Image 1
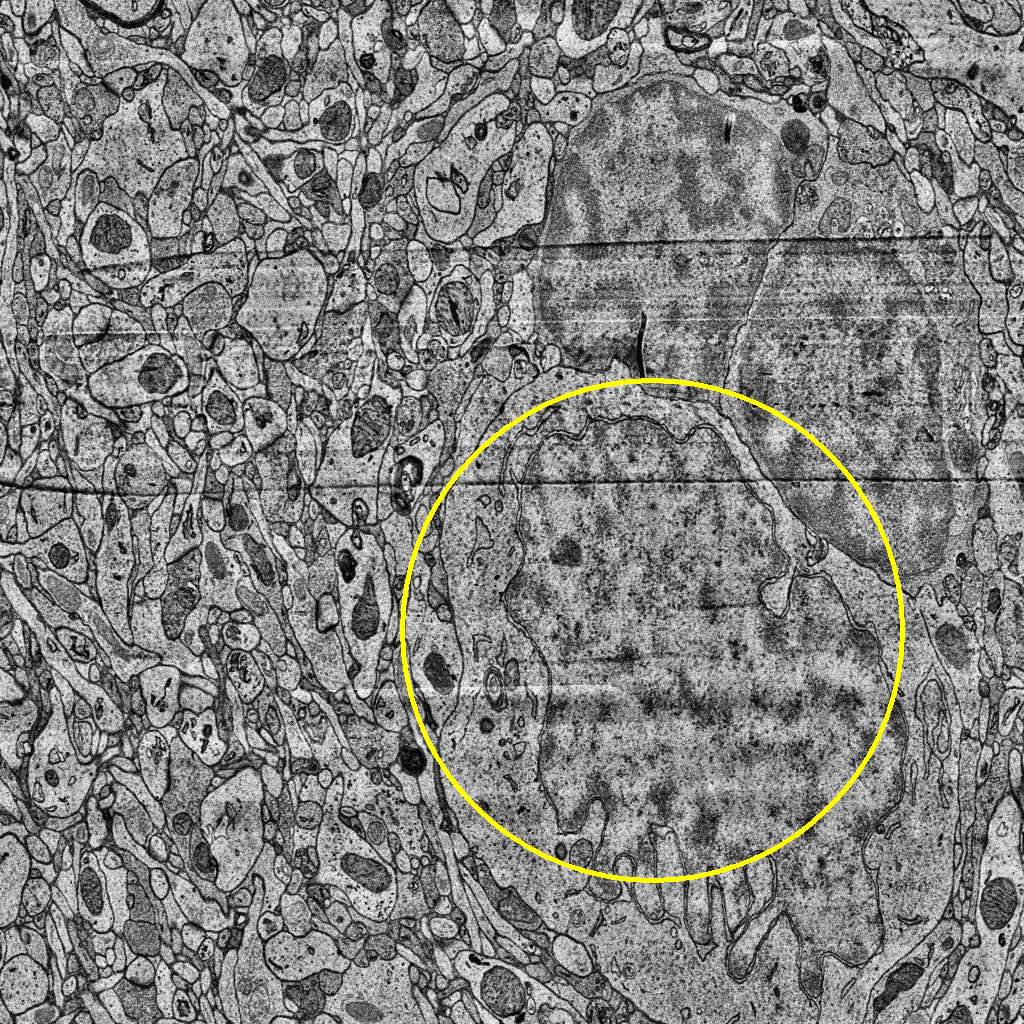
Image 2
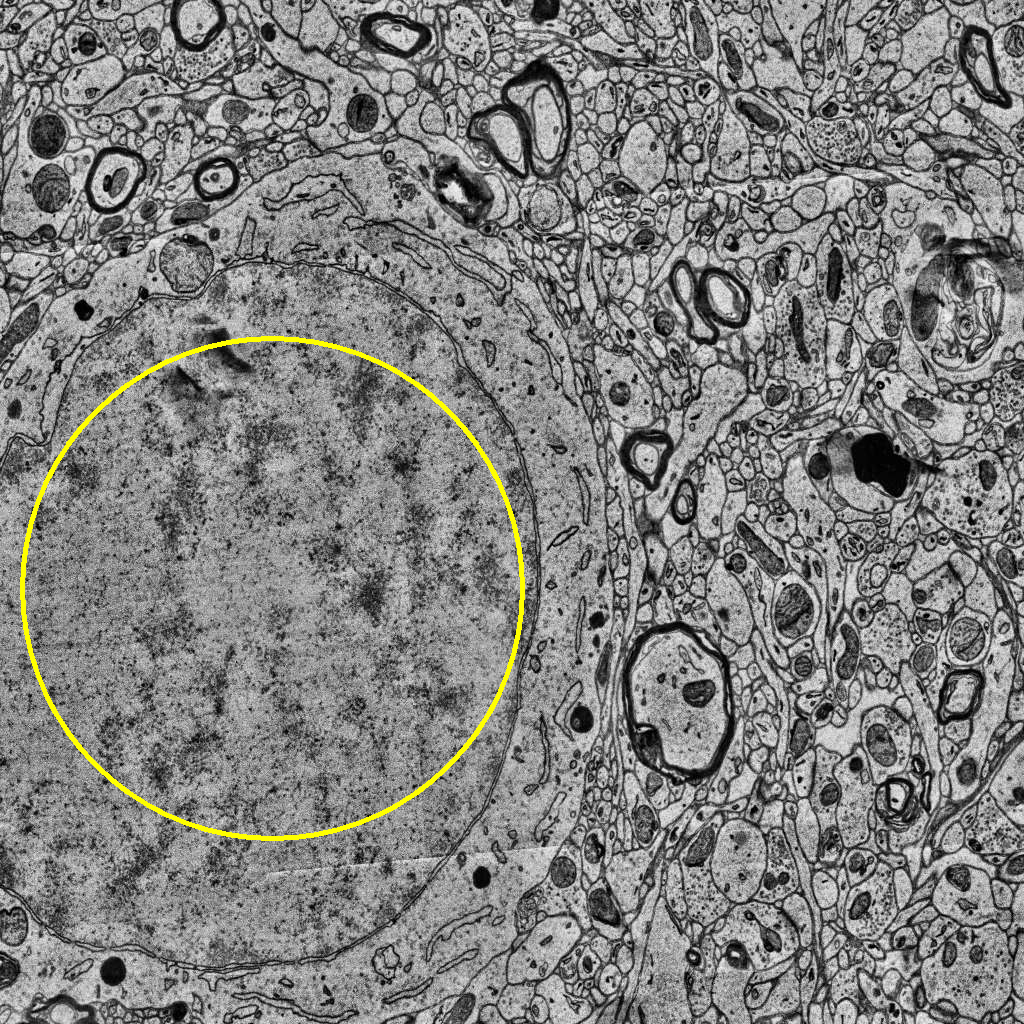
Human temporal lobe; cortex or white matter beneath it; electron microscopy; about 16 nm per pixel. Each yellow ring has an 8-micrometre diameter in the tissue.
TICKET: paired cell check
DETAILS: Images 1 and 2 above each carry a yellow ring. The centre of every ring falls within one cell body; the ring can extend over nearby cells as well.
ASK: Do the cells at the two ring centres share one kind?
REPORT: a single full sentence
Yes, the cells at the ring centres of Images 1 and 2 belong to a single kind.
